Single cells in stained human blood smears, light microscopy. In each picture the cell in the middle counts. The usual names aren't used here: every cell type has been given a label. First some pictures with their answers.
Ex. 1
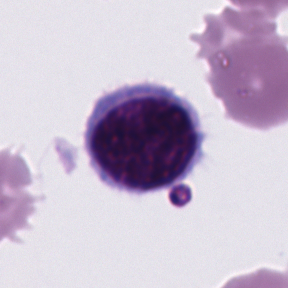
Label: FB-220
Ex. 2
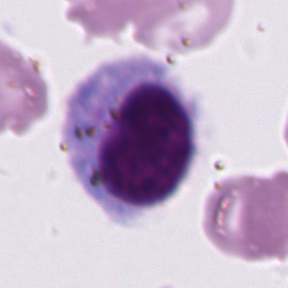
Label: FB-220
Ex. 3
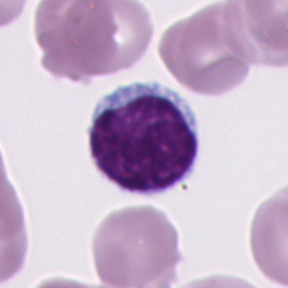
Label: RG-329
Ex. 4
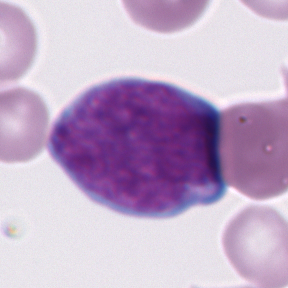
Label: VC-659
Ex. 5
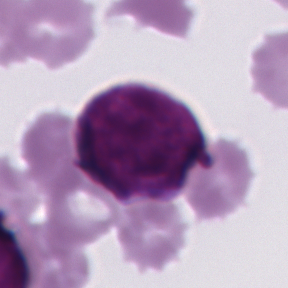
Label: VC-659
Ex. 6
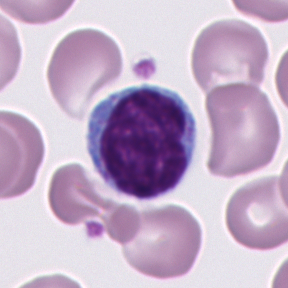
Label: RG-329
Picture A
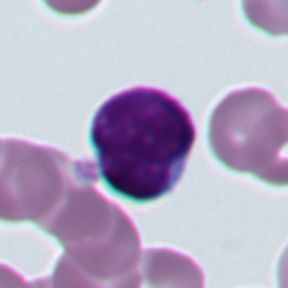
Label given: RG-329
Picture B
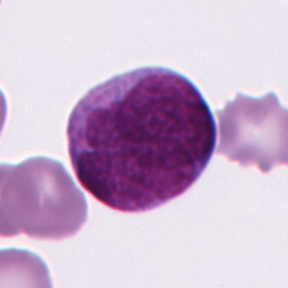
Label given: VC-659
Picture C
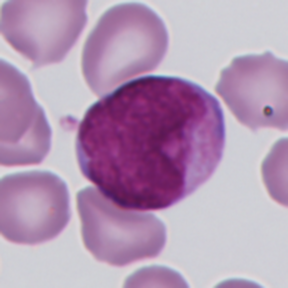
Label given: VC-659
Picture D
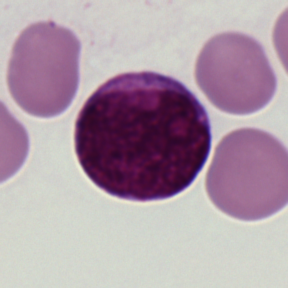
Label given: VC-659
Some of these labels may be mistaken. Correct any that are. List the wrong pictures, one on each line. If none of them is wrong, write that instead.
All correct.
